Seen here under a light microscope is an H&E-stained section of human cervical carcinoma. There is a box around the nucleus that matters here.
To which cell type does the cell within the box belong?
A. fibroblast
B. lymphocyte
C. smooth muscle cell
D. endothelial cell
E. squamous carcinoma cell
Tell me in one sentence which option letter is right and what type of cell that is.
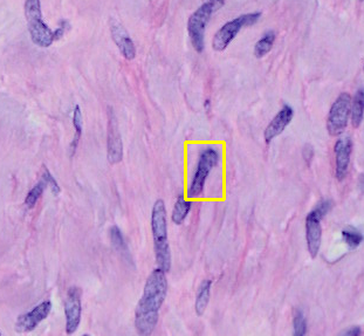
That the cell within the box is a fibroblast makes option A the correct choice.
